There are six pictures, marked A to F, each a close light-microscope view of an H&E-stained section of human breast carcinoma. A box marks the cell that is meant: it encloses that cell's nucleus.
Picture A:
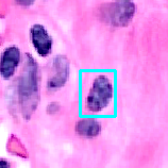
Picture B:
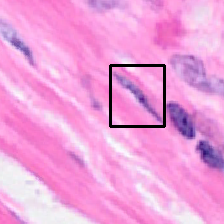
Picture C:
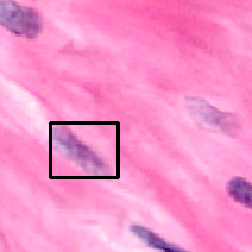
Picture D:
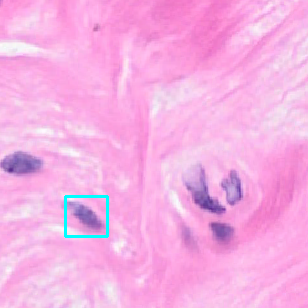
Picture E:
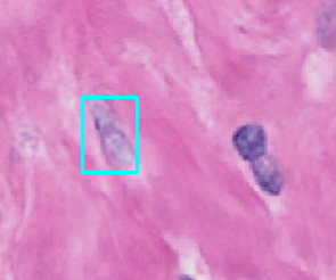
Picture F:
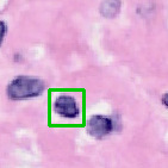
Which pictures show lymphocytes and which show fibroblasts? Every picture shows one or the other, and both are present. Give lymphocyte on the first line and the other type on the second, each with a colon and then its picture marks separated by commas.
lymphocyte: A, F
fibroblast: B, C, D, E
